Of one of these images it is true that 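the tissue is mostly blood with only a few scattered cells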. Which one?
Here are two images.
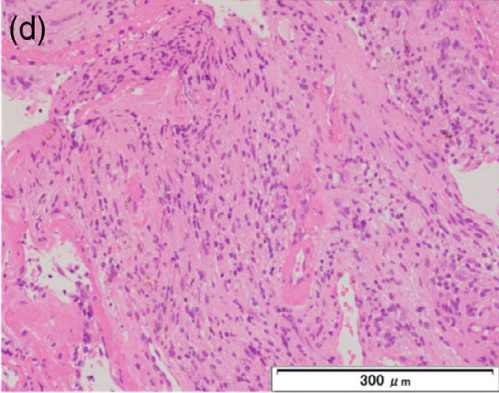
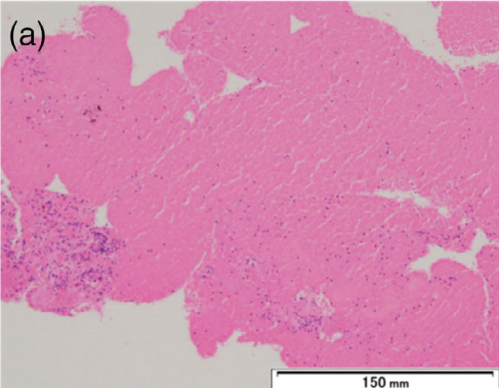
The second image.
